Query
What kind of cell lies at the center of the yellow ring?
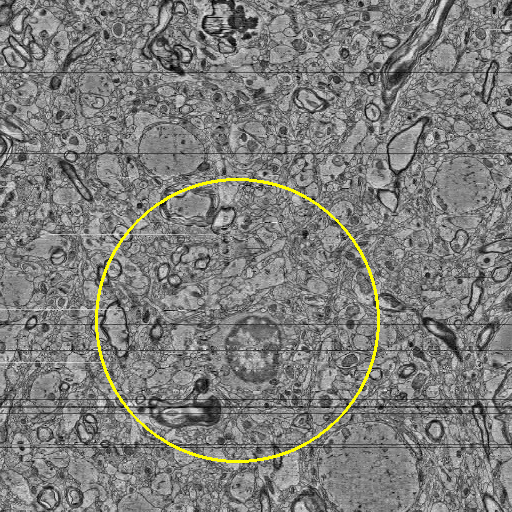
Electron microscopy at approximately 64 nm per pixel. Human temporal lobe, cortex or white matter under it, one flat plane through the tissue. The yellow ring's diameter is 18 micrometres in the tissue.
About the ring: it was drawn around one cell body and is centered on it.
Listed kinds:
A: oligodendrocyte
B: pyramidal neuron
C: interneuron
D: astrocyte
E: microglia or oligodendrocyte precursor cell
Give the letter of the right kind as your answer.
A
